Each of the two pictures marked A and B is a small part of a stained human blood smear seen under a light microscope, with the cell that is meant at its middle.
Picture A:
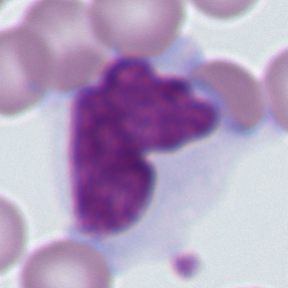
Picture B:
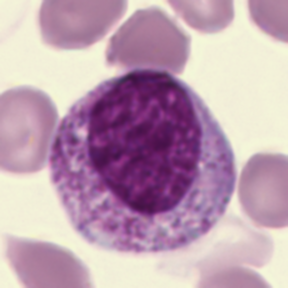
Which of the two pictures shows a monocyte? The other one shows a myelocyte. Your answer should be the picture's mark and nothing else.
A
